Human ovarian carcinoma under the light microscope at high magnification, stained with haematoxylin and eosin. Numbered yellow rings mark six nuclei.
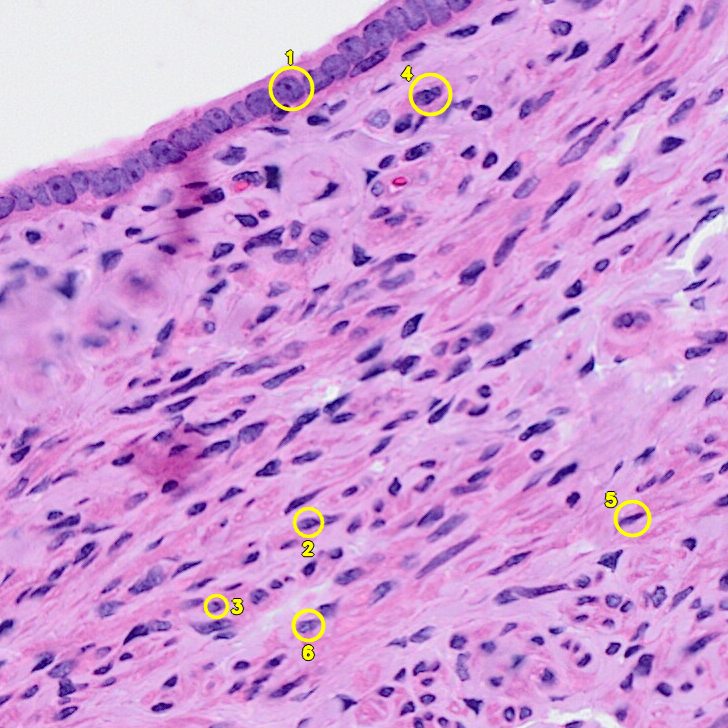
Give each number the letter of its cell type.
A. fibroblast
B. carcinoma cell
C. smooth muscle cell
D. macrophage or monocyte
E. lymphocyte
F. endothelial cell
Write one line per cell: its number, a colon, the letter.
1: B
2: C
3: C
4: F
5: C
6: C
